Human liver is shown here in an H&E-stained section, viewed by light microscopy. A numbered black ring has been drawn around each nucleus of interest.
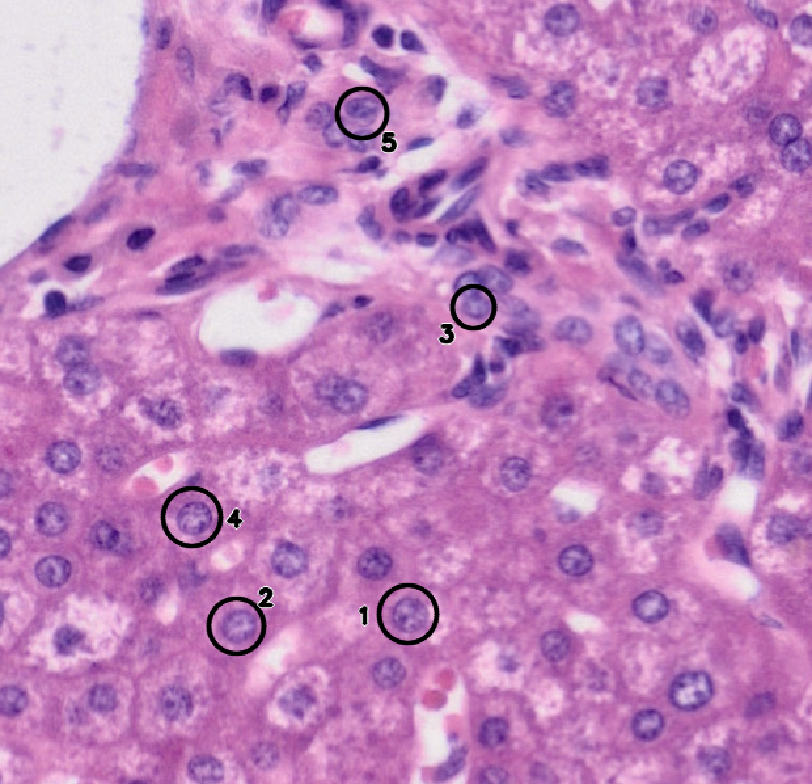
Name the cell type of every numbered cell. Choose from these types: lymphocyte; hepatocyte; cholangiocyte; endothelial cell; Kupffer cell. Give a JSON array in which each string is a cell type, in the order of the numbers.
["hepatocyte", "hepatocyte", "cholangiocyte", "hepatocyte", "cholangiocyte"]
